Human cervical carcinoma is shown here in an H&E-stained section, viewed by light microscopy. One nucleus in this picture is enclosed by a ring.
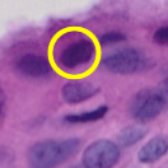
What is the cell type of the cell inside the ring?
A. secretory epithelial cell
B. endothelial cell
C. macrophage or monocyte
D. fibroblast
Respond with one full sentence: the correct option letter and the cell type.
On this slide, the cell inside the ring is a secretory epithelial cell, so option A is right.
